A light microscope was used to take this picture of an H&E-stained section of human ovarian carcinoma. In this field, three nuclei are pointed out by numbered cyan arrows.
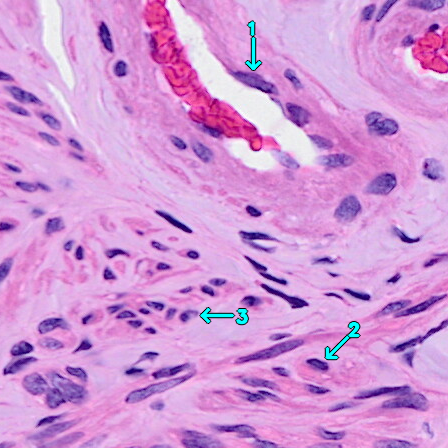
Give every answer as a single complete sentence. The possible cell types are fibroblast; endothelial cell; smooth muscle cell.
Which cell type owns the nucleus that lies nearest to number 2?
Number 2 lies closest to the nucleus of a smooth muscle cell.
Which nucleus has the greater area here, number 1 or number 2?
The larger nucleus is 1, at roughly 2.5 times the area of 2.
